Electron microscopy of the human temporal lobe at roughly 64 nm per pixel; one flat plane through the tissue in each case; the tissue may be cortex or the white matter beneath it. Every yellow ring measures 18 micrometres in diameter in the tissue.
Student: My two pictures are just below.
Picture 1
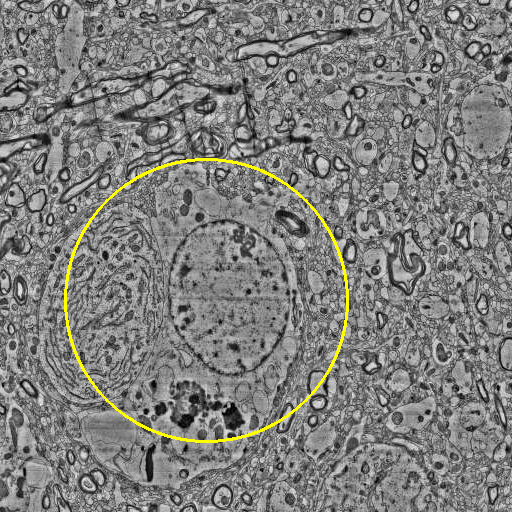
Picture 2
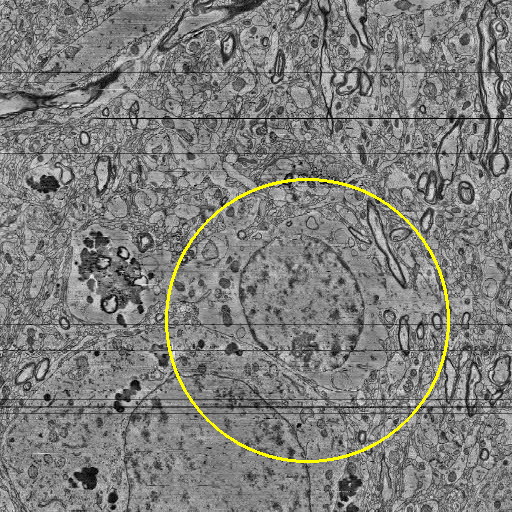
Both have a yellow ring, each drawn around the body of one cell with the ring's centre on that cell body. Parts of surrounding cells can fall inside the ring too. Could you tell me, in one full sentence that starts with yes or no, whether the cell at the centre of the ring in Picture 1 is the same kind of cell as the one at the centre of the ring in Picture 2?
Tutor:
Yes, the two cells are of the same kind.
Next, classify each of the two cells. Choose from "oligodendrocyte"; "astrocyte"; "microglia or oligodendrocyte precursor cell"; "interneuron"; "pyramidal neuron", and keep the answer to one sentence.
In the first picture and in the second, the ring is centred on an astrocyte.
